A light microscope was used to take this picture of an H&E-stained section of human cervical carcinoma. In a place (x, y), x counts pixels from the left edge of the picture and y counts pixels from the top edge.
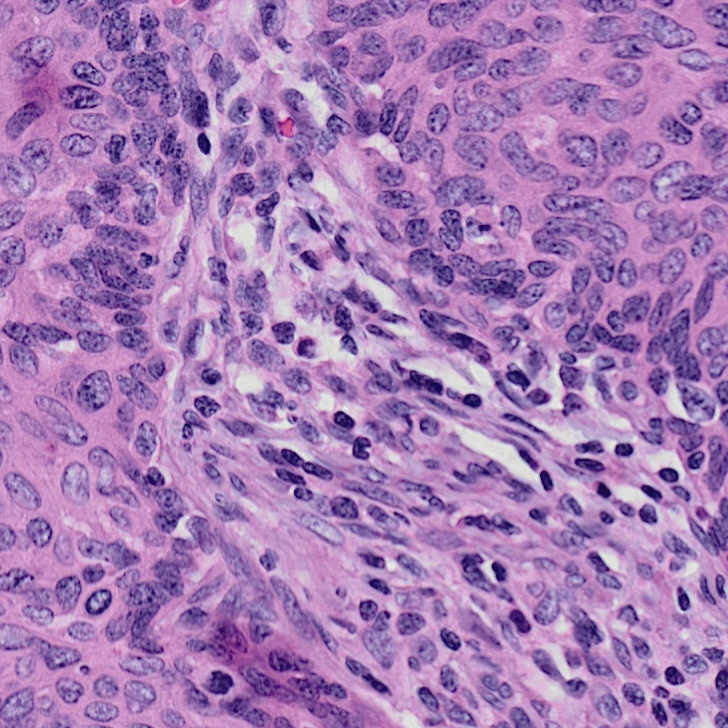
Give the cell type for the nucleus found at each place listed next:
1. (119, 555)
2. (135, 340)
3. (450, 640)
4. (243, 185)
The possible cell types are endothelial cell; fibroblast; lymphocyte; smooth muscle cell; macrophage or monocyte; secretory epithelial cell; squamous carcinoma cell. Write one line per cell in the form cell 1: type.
cell 1: squamous carcinoma cell
cell 2: squamous carcinoma cell
cell 3: lymphocyte
cell 4: lymphocyte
